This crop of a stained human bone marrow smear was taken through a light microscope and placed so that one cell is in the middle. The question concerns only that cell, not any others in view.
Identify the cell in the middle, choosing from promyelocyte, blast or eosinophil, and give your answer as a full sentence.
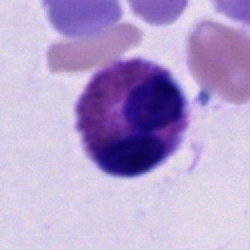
At the middle of the frame sits an eosinophil.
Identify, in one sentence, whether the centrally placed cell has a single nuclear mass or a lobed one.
If you check the nucleus, you will find it split into two or more lobes.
